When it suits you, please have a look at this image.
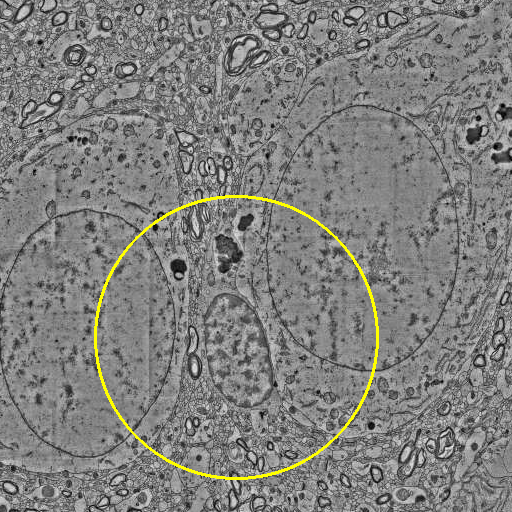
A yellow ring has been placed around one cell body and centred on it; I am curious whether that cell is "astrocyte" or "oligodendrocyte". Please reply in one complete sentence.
The ringed cell, an oligodendrocyte, has its body at the centre of the yellow ring.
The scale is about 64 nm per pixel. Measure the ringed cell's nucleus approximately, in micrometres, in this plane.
The nucleus works out at approximately 7 by 4 micrometres in this plane.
